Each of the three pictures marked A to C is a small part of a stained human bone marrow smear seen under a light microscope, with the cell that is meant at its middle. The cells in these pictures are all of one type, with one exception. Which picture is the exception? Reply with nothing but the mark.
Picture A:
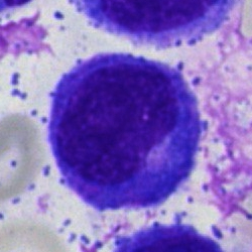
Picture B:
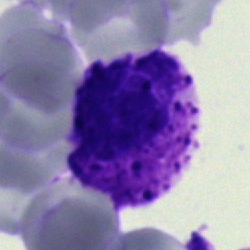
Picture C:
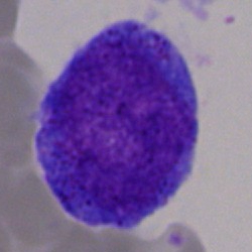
B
